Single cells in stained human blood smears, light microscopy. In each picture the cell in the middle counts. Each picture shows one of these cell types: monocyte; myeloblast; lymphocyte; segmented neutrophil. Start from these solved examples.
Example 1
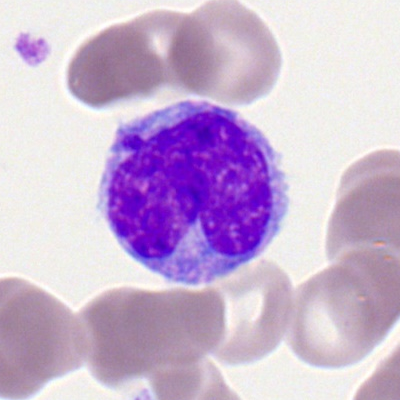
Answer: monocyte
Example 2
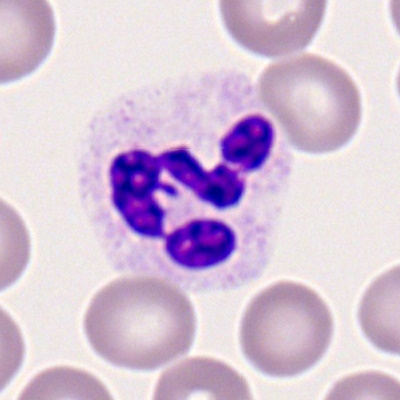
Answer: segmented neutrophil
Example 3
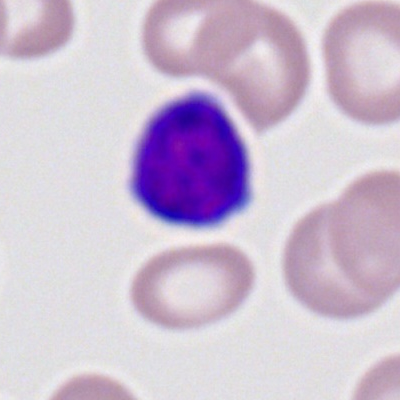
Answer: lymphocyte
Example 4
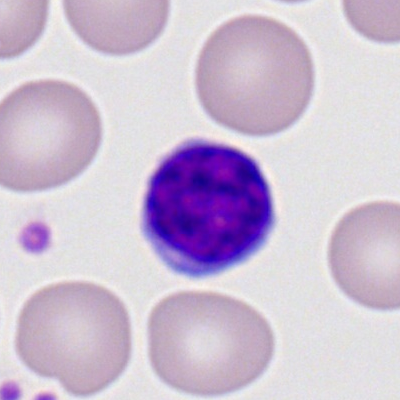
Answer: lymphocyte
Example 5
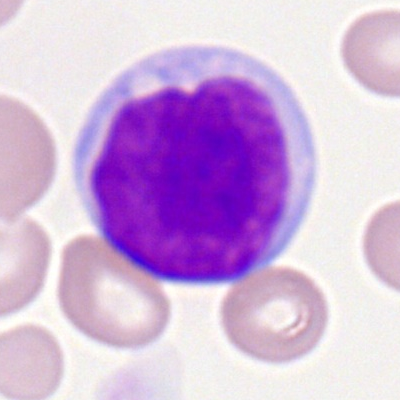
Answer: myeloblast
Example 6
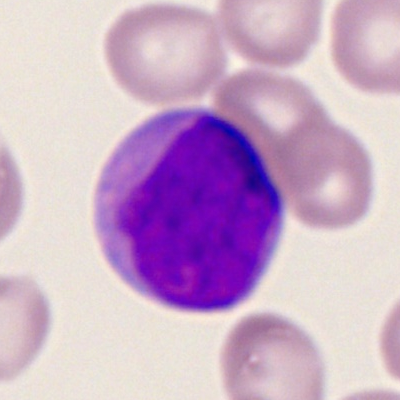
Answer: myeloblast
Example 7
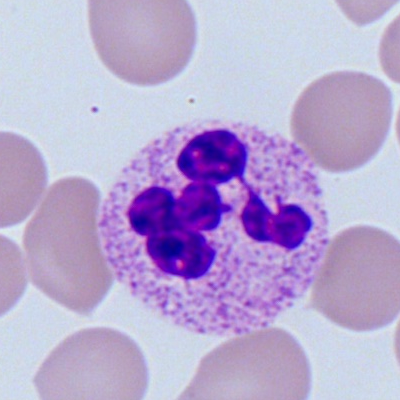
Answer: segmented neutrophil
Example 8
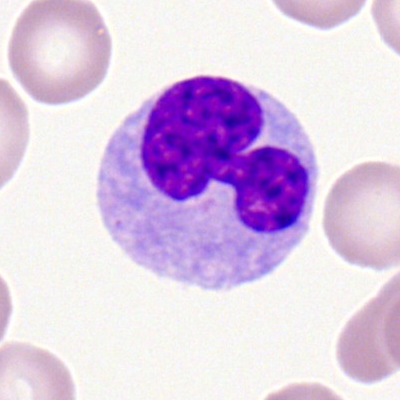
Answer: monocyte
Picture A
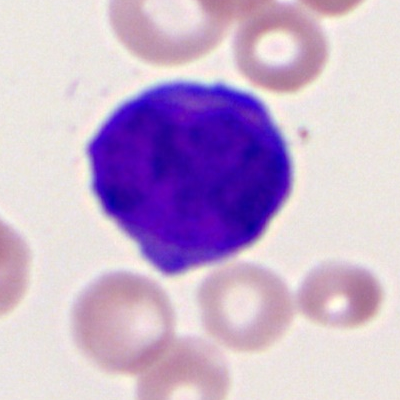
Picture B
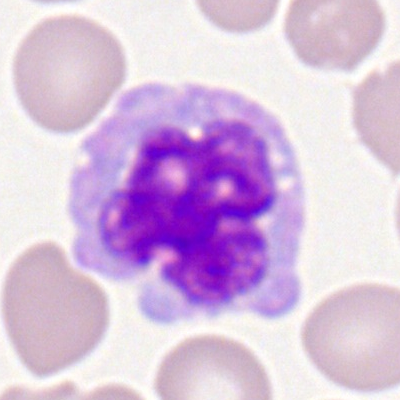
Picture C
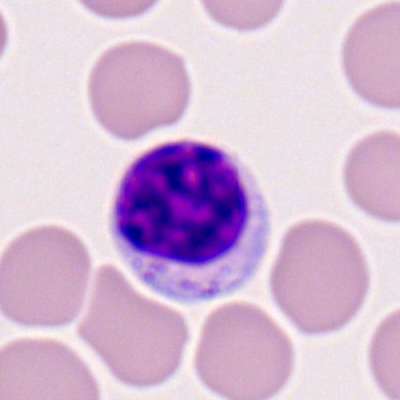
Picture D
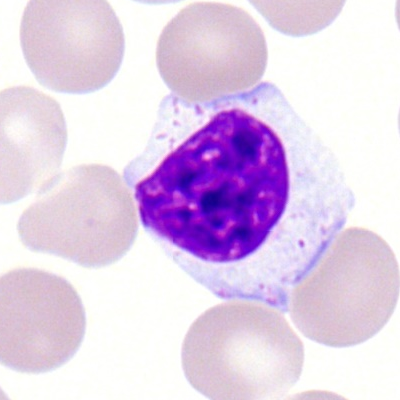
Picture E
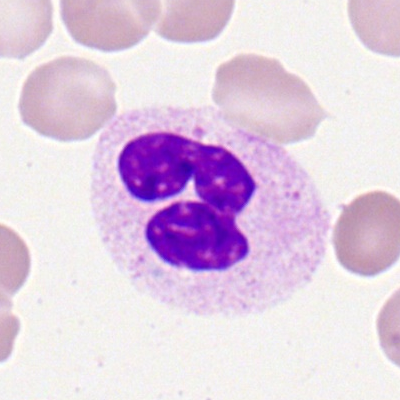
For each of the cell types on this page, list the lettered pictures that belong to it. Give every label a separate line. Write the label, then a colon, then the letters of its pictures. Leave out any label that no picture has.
monocyte: B
myeloblast: A
lymphocyte: C, D
segmented neutrophil: E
